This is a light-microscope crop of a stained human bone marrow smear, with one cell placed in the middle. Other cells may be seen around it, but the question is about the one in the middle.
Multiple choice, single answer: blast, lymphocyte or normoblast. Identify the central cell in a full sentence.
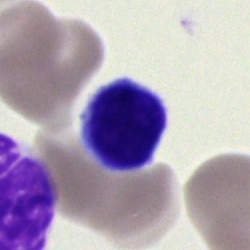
Within this crop, a lymphocyte occupies the central position.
